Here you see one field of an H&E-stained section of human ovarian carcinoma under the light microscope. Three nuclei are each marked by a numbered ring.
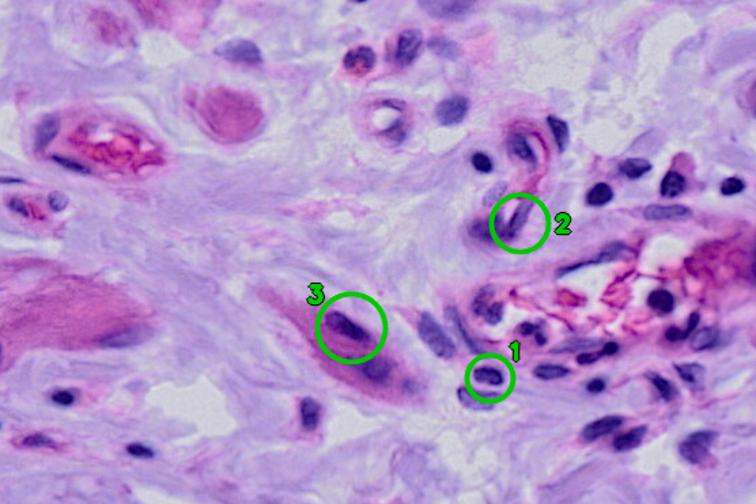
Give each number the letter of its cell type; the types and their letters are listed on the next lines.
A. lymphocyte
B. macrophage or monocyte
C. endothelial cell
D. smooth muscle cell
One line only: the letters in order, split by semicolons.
A; C; D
